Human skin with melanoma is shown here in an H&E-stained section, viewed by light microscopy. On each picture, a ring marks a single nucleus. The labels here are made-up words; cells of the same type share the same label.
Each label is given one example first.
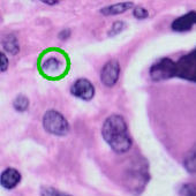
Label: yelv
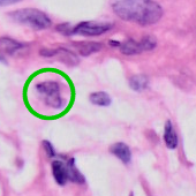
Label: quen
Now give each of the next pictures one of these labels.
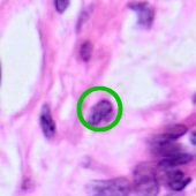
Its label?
quen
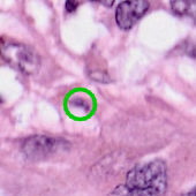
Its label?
quen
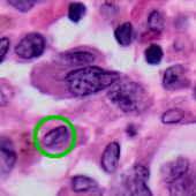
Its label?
quen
